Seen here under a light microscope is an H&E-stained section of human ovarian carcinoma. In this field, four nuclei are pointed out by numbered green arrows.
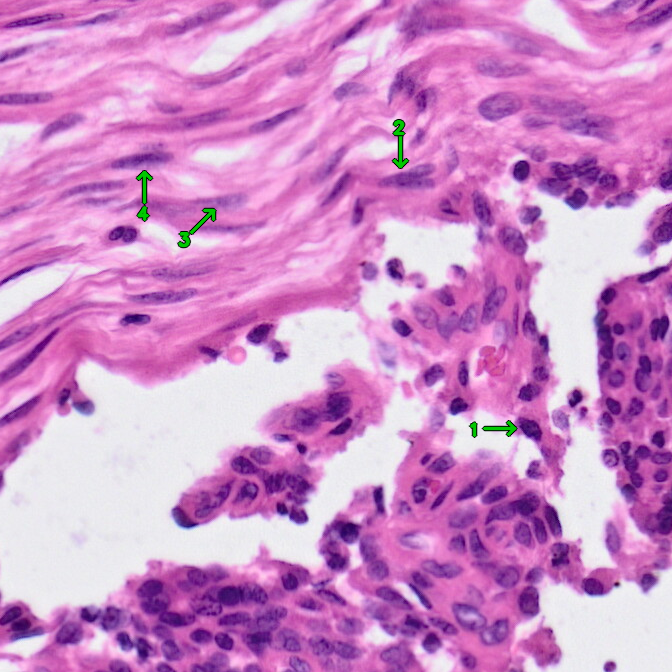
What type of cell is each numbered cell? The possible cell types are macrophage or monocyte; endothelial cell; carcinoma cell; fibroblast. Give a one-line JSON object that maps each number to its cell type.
{"1": "macrophage or monocyte", "2": "fibroblast", "3": "fibroblast", "4": "fibroblast"}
